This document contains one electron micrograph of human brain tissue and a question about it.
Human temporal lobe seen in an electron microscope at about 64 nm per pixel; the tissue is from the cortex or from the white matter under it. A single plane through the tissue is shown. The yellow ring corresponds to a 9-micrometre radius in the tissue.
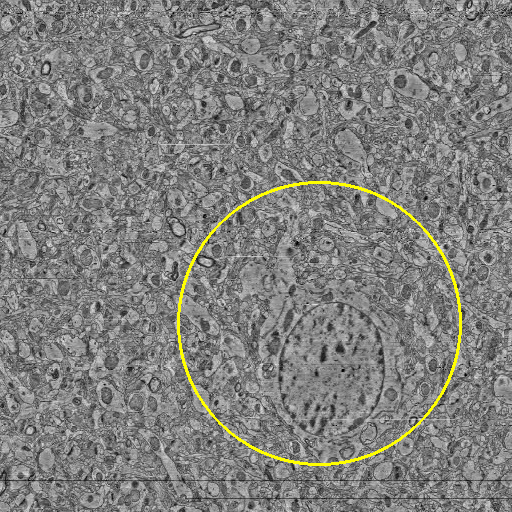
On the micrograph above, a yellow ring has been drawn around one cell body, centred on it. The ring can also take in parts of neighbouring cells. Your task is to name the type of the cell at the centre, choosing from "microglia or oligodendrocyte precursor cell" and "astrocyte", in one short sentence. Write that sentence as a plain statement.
Here the ring is centred on an astrocyte.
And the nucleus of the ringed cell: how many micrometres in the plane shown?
About 9 by 7 micrometres in this plane.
